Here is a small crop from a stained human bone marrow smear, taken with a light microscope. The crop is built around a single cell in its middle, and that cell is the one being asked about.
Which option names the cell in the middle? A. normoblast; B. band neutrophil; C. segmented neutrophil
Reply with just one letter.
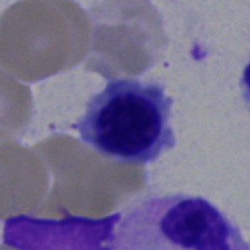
A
